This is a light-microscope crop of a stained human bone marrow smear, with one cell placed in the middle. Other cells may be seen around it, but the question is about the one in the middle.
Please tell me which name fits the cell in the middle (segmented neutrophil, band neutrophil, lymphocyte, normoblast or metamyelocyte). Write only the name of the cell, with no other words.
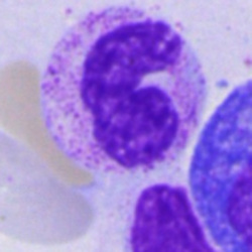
segmented neutrophil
